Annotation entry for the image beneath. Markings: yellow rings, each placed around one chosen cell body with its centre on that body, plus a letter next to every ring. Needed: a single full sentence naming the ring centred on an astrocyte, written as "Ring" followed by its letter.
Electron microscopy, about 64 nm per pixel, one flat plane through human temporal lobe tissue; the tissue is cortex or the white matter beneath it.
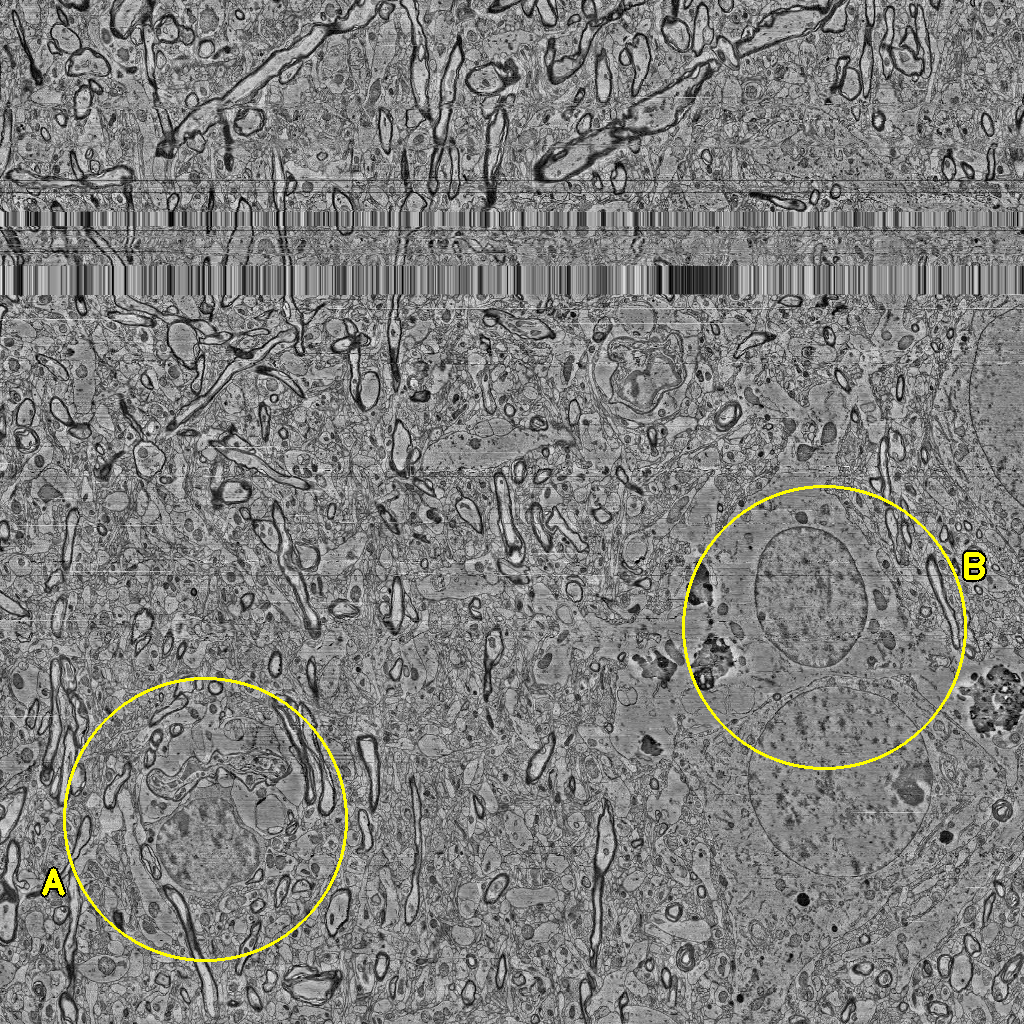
The image shows the cell in question at the centre of Ring B.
